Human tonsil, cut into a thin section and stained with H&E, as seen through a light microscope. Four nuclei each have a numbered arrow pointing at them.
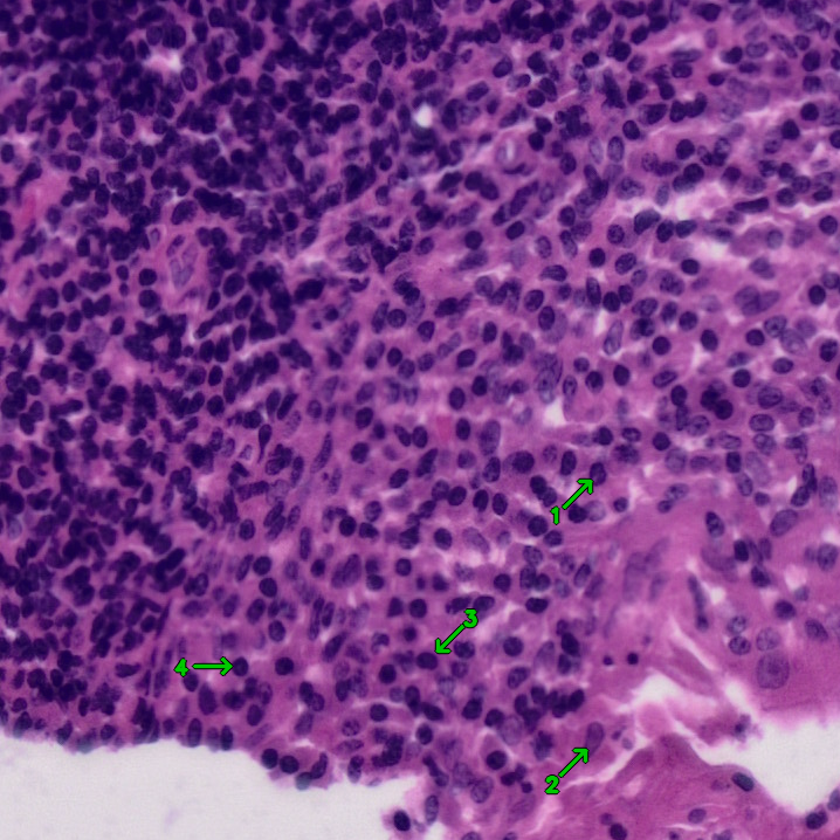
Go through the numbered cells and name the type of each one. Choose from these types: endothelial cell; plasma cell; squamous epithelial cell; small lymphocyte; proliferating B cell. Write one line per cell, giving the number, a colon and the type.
1: plasma cell
2: squamous epithelial cell
3: plasma cell
4: plasma cell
